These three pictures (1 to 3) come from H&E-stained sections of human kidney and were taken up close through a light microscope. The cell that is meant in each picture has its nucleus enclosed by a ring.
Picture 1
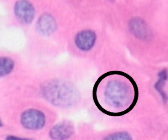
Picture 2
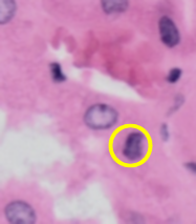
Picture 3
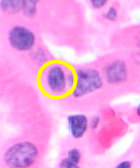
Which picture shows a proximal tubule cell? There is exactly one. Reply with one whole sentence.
The picture with the proximal tubule cell is 2.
